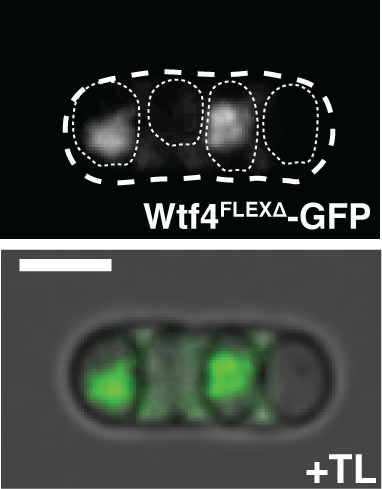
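This is a fission yeast ascus with four rounded spores lying in a row inside the sac. In the transmitted light image the spore walls show as rounded outlines within the ascus wall.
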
